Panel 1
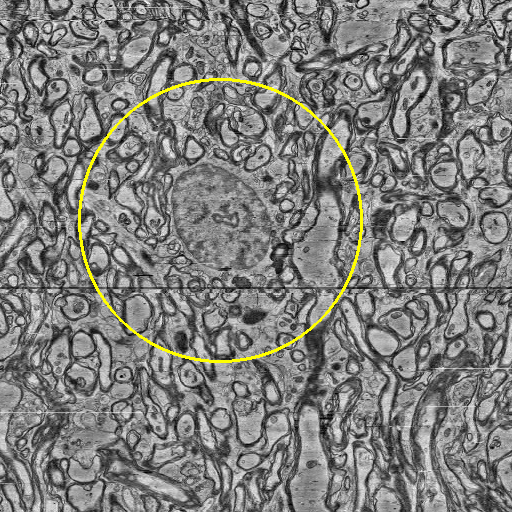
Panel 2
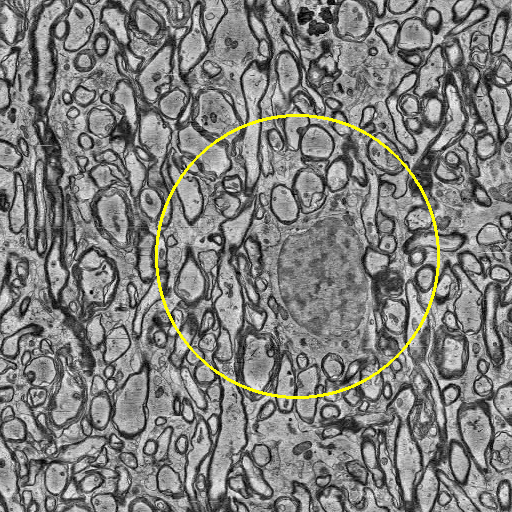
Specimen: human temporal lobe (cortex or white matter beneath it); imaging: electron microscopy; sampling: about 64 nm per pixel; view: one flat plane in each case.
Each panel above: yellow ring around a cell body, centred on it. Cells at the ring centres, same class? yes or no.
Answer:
yes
